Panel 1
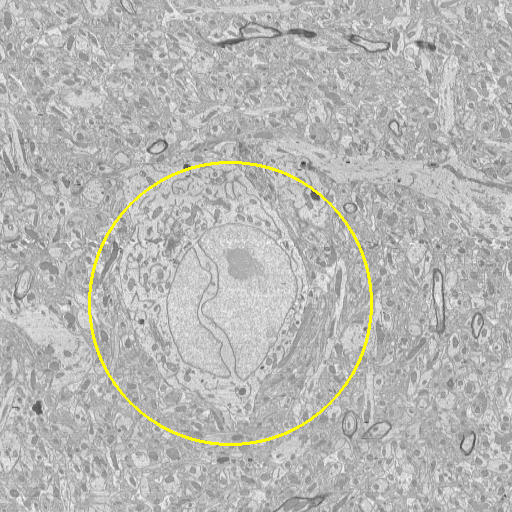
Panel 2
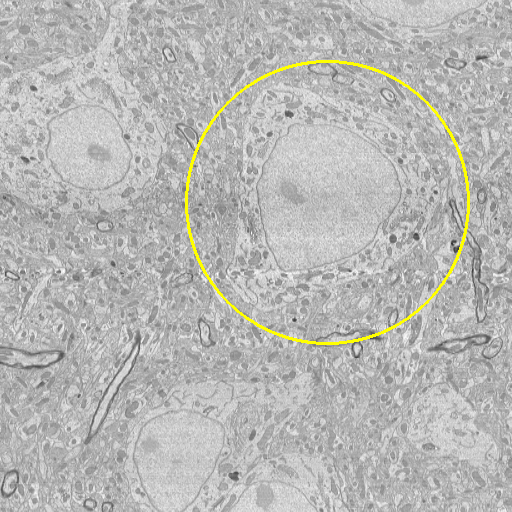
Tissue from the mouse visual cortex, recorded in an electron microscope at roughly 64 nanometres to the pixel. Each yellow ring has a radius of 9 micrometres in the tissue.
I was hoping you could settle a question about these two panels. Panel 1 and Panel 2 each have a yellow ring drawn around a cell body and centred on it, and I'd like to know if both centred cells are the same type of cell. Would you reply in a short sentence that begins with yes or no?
Yes, both are the same type of cell.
